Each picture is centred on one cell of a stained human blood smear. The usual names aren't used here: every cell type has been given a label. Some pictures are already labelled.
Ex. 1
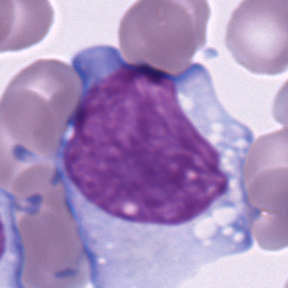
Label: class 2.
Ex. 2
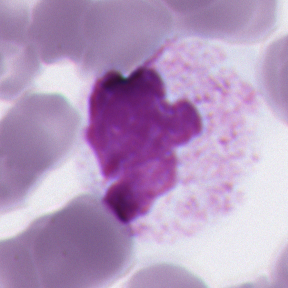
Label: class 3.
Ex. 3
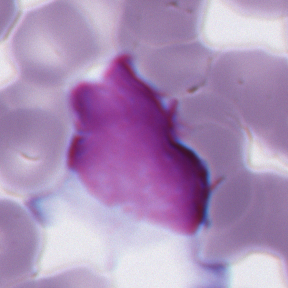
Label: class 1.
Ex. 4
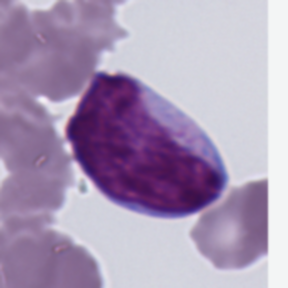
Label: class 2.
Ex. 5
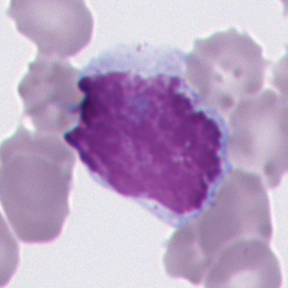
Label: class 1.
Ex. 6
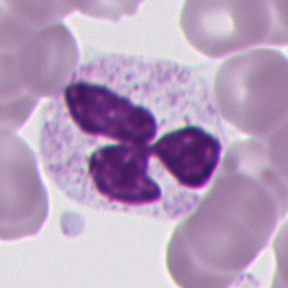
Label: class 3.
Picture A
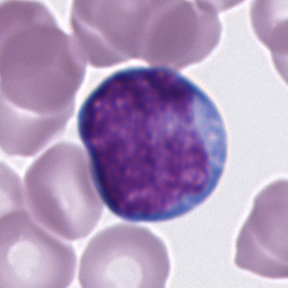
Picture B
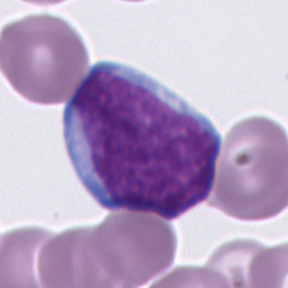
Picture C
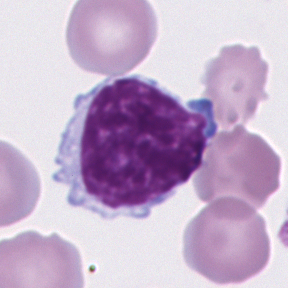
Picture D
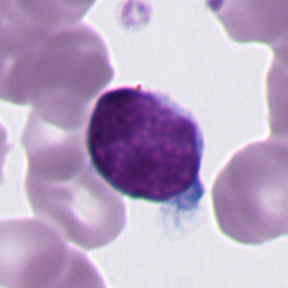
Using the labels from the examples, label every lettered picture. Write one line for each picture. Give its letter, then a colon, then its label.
A: class 2.
B: class 2.
C: class 1.
D: class 1.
